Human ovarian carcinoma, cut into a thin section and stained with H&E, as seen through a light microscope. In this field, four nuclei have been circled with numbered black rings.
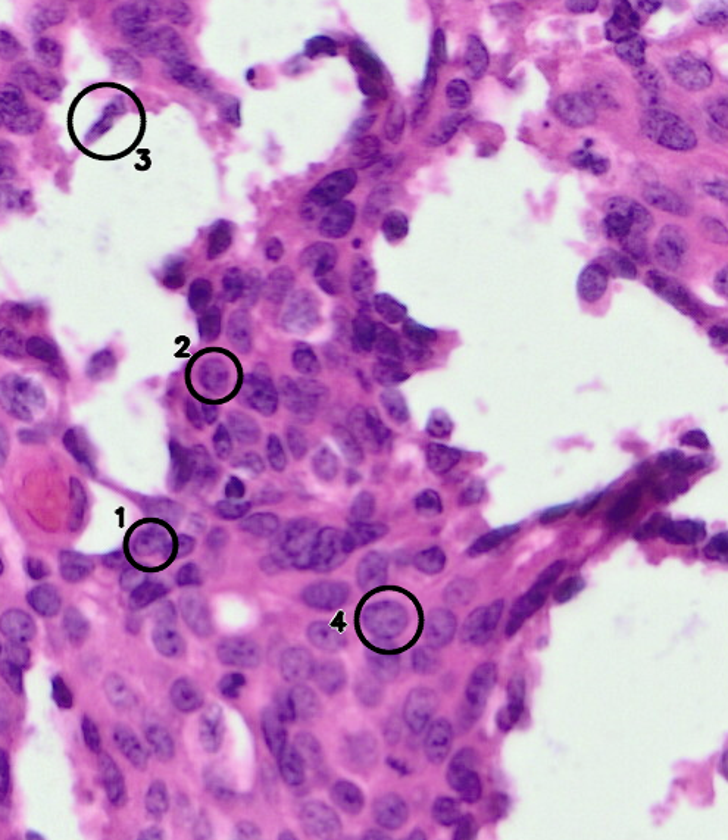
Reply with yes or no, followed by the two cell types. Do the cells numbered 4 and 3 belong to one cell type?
No, cell 4 is a carcinoma cell and cell 3 is a macrophage or monocyte.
